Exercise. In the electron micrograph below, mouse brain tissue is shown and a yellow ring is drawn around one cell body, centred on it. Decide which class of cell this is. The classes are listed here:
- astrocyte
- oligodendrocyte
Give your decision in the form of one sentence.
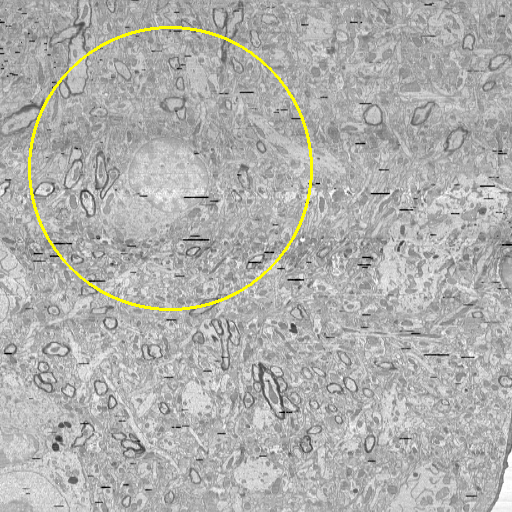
The cell body marked by the ring belongs to an oligodendrocyte.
